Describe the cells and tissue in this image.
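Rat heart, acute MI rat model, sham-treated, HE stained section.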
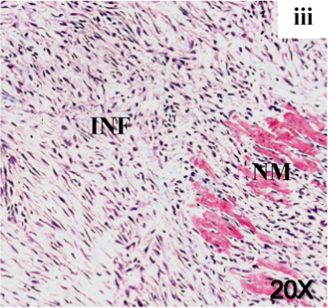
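Spindle-shaped cells with elongated dark purple nuclei run in wavy streams through a pale pink fibrous matrix. Only a few bright pink fragments of surviving myocytes remain, clustered toward the right side of the field.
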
